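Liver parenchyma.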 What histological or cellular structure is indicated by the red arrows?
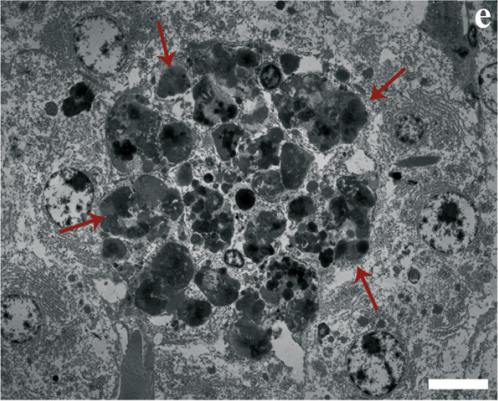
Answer: Macrophage aggregates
